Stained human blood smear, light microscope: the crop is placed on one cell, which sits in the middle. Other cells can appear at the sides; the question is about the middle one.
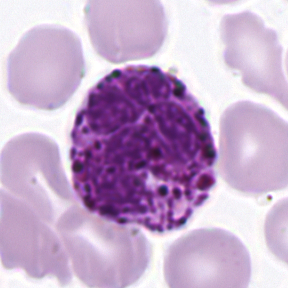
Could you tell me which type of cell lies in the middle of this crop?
basophil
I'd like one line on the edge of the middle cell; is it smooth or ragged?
A smooth, projection-free outline is what this cell has.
